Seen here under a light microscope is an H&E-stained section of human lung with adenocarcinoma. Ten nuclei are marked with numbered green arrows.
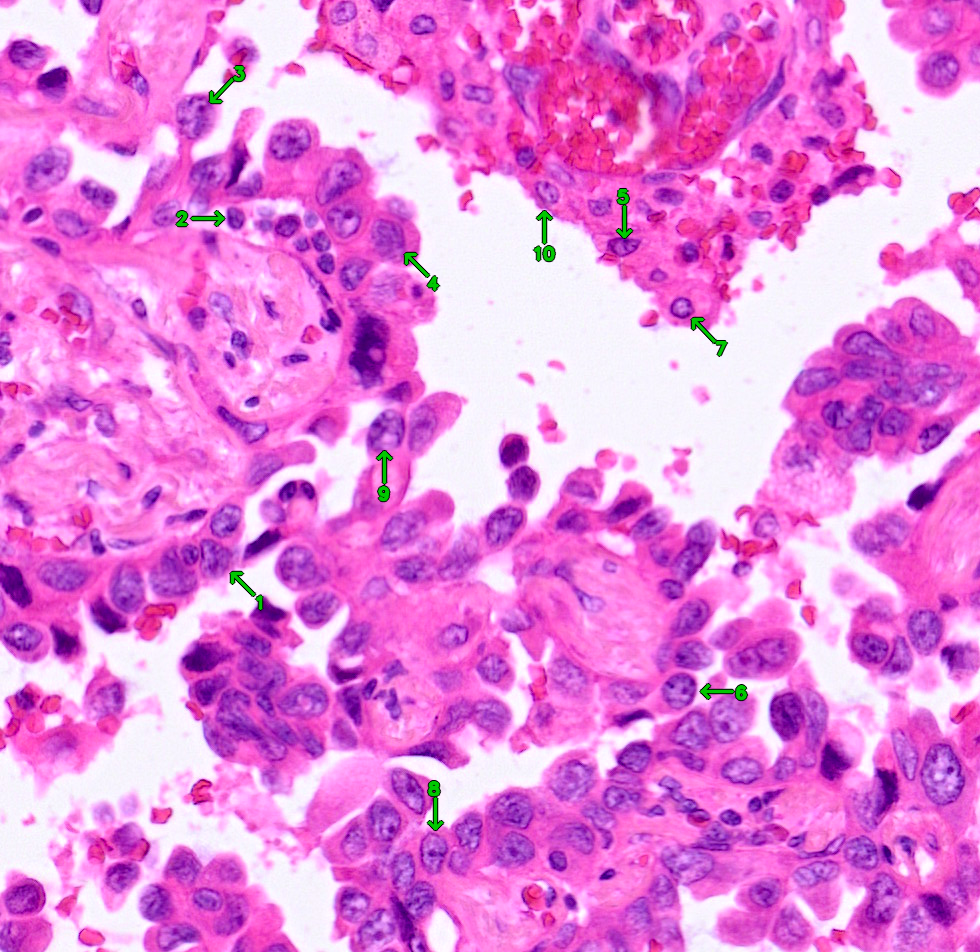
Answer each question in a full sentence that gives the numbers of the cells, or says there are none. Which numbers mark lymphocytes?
Cell 2 is a lymphocyte, while all remaining marked cells are of other types.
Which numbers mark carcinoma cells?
The cells with labels 1, 3, 4, 6, 8 and 9 are carcinoma cells.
